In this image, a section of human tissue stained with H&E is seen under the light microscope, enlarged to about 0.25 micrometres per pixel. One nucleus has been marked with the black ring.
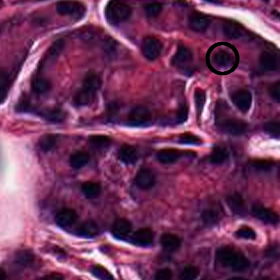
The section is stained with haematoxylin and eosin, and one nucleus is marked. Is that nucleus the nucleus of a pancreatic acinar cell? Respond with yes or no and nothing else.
yes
